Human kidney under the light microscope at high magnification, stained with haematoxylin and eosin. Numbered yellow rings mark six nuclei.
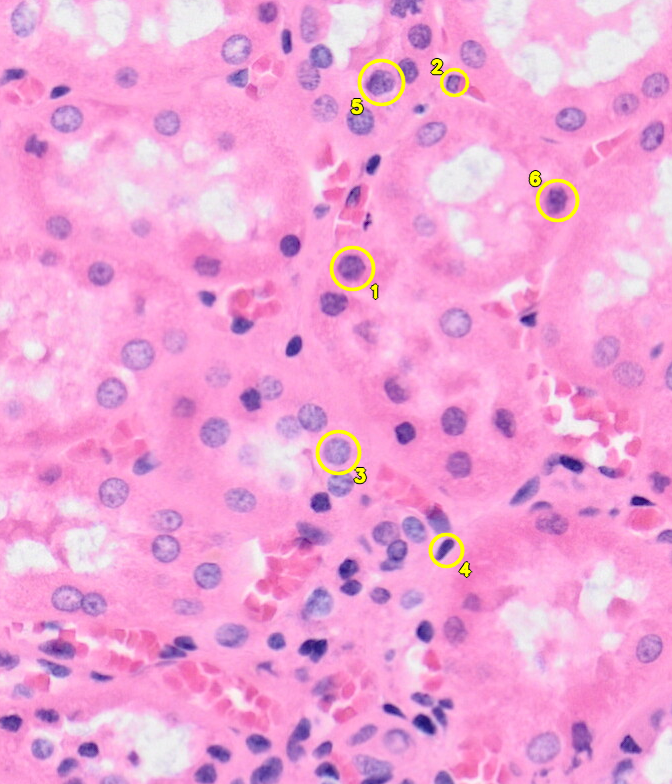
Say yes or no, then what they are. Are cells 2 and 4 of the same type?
Yes, cells 2 and 4 are endothelial cells, the two of them alike.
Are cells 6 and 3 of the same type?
No, cell 6 is a proximal tubule cell and cell 3, for its part, is a loop of Henle or distal tubule cell.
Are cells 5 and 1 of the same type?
No, cell 1 is a proximal tubule cell, whereas cell 5 is a loop of Henle or distal tubule cell.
